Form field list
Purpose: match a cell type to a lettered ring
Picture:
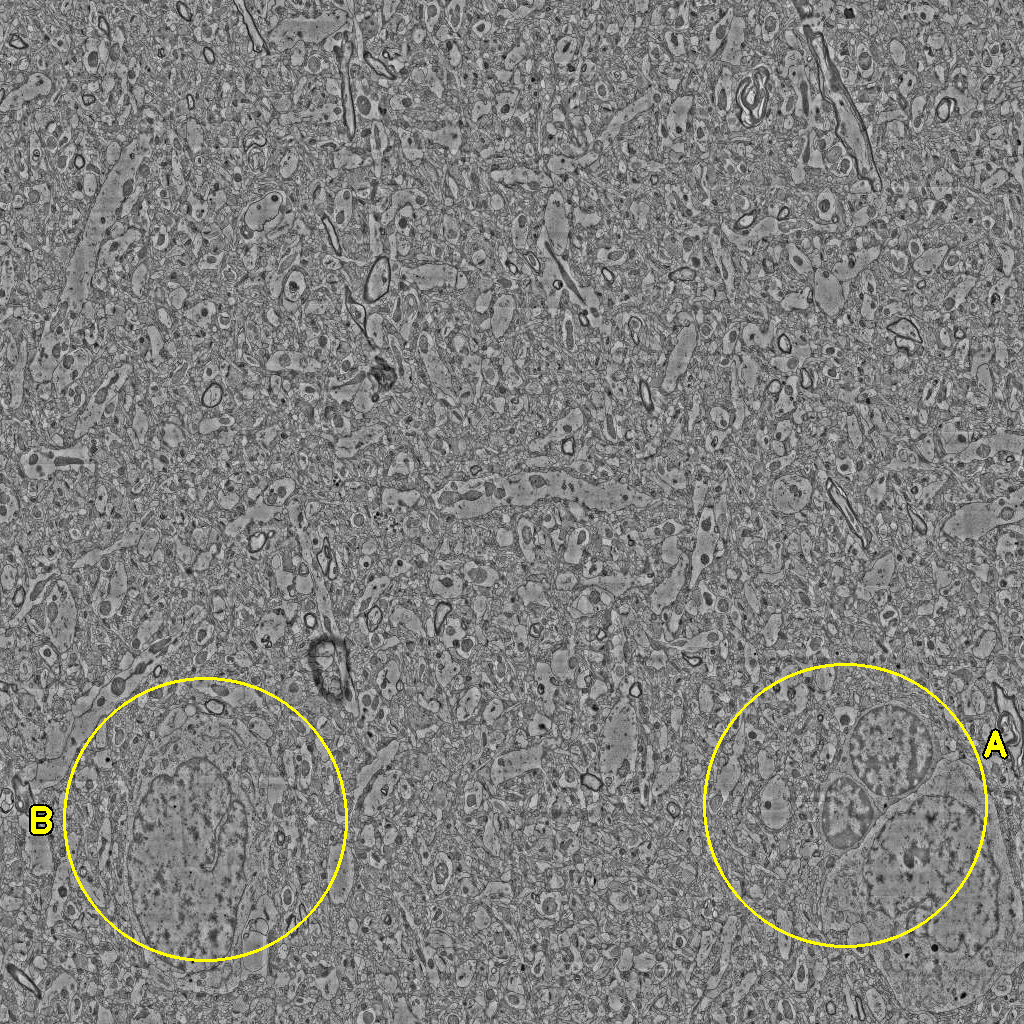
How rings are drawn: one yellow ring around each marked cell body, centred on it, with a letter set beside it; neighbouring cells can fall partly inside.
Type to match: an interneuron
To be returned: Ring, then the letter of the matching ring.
Ring B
